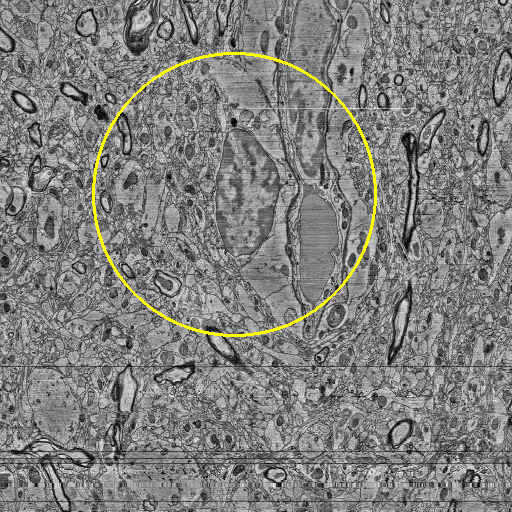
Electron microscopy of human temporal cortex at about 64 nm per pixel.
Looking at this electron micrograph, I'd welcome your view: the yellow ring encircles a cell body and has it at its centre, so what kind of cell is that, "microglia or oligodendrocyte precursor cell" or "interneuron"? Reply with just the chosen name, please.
microglia or oligodendrocyte precursor cell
